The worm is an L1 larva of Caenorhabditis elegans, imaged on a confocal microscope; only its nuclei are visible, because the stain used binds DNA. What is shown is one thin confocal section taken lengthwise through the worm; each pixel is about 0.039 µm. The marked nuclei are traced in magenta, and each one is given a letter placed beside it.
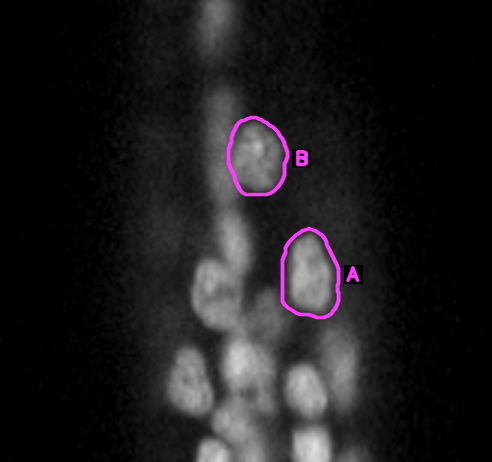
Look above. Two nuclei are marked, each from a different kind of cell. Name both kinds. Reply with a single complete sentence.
A is in a body wall muscle cell and B is in a hypodermal cell (hyp).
